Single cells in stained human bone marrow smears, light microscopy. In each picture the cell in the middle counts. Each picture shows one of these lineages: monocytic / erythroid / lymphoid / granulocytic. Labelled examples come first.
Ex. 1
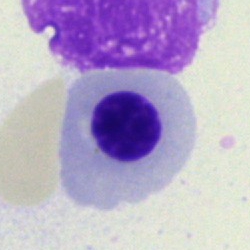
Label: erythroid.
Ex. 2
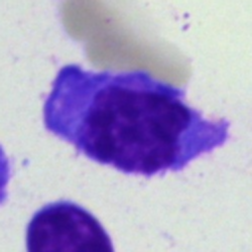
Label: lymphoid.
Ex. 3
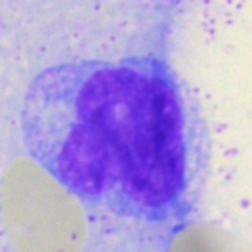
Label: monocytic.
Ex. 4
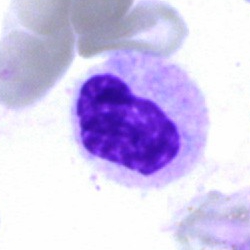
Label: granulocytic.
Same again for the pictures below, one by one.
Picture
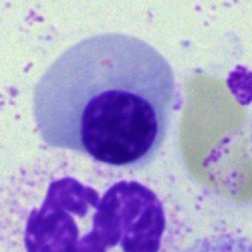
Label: erythroid.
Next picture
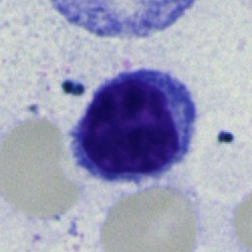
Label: lymphoid.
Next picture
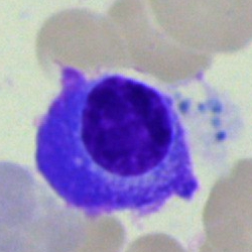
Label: lymphoid.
